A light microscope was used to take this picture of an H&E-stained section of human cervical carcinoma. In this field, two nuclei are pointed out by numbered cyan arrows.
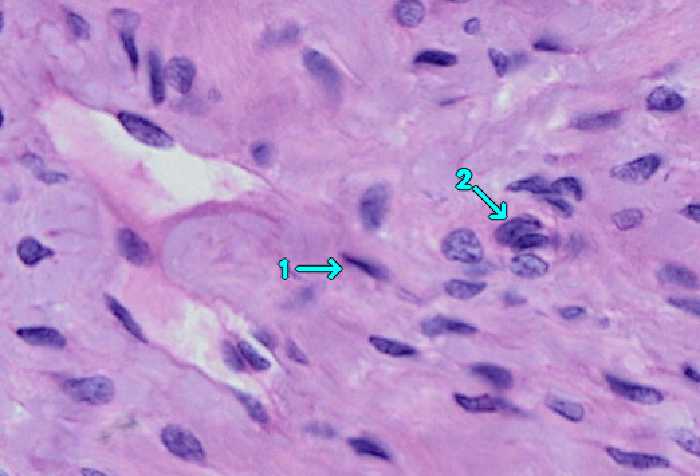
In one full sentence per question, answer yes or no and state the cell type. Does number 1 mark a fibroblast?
Yes, what number 1 marks is a fibroblast.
